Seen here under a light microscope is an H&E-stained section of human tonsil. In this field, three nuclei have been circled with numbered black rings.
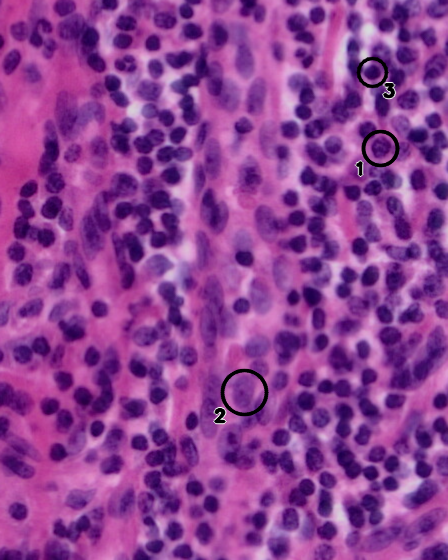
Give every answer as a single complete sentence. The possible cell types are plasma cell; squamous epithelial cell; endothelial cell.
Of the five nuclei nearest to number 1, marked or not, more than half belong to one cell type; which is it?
Most of the five nuclei nearest to number 1 are those of plasma cells.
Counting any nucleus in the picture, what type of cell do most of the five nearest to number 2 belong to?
The majority of the five nuclei closest to number 2 belong to endothelial cells.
